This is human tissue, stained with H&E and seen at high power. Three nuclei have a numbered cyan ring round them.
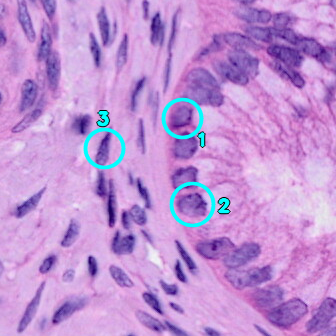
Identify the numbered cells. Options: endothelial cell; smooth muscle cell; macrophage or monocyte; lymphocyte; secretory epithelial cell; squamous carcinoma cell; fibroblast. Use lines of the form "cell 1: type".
cell 1: secretory epithelial cell
cell 2: secretory epithelial cell
cell 3: fibroblast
